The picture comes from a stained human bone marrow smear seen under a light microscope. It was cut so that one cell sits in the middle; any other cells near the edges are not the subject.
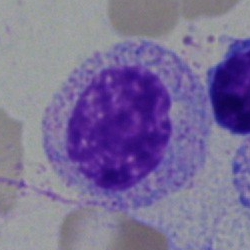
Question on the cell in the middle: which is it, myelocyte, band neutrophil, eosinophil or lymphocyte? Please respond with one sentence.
In this crop, the cell at the very middle is a myelocyte.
